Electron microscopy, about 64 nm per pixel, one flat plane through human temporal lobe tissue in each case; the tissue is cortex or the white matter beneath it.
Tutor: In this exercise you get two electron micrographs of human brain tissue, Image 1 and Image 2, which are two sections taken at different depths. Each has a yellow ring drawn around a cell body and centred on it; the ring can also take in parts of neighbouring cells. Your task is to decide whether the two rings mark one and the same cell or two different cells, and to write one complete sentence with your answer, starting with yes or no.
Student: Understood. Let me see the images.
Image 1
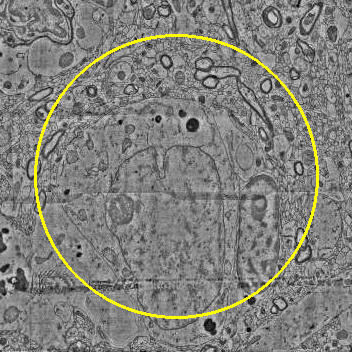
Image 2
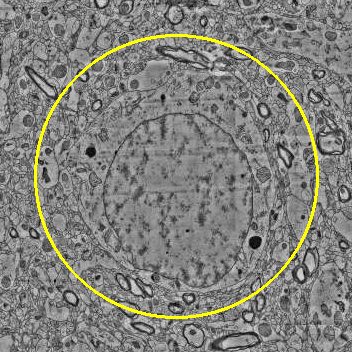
No, one ring and the other ring mark two distinct cells.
